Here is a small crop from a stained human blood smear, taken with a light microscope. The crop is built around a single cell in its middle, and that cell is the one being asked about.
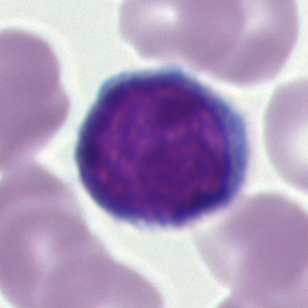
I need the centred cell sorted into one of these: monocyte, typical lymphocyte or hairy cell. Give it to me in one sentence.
In short, the cell at the center is a typical lymphocyte.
